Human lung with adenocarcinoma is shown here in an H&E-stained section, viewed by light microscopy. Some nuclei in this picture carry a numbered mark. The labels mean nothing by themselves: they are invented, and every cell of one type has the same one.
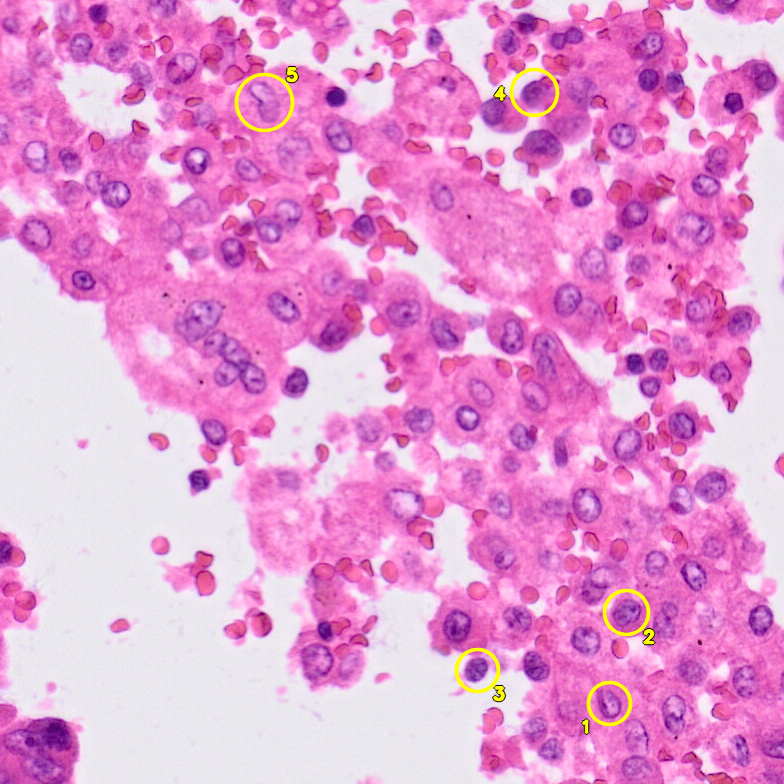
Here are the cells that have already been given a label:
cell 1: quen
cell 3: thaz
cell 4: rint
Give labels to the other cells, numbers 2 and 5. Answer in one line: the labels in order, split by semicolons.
quen; quen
